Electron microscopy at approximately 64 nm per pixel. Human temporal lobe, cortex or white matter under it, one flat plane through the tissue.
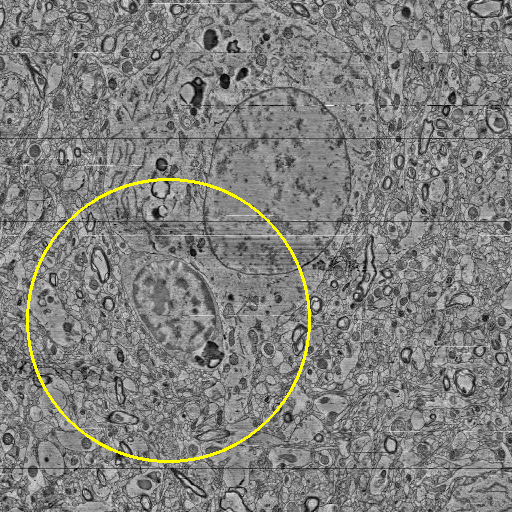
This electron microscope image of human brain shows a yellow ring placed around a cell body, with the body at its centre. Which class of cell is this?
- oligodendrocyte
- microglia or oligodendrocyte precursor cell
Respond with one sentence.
The cell body at the ring's centre is an oligodendrocyte.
